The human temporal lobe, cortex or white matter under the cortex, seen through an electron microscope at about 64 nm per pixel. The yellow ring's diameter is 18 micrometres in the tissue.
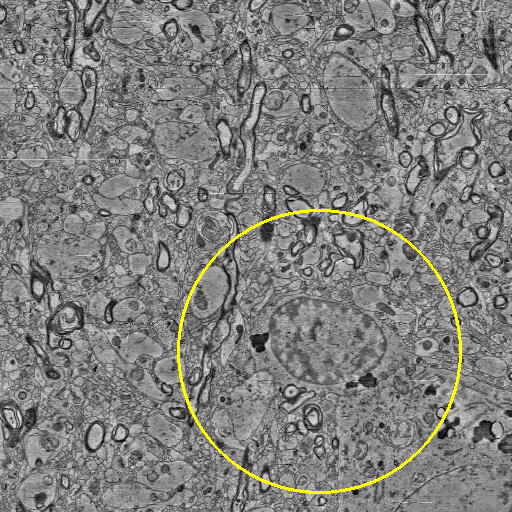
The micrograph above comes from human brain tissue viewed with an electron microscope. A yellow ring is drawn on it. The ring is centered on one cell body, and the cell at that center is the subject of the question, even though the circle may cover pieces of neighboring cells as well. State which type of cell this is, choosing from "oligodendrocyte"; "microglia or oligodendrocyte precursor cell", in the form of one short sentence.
The cell the ring is centered on is an oligodendrocyte.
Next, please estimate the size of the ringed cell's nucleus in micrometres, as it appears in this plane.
The nucleus has a long axis of about 8 micrometres and a short axis of about 6 micrometres in this plane.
